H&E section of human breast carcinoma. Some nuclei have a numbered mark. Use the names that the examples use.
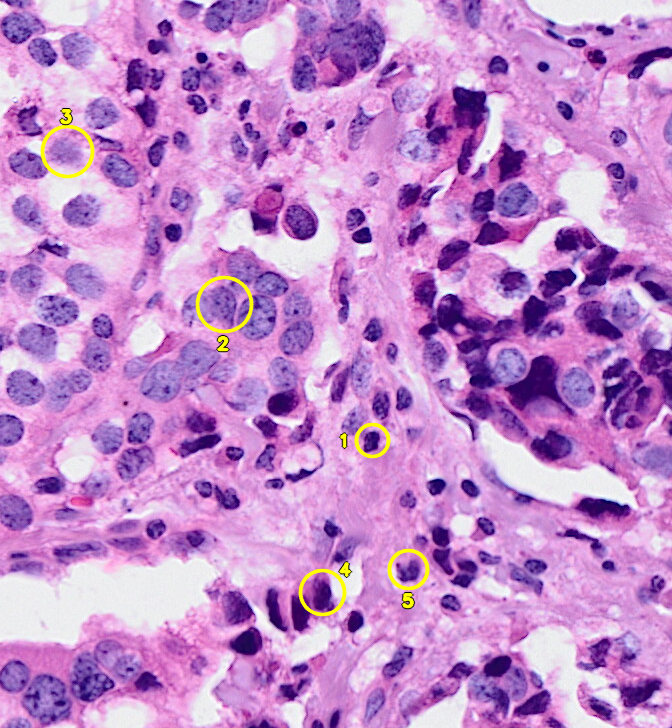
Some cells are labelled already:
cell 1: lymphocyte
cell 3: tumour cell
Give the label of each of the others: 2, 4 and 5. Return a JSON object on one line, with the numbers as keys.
{"2": "tumour cell", "4": "tumour cell", "5": "lymphocyte"}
